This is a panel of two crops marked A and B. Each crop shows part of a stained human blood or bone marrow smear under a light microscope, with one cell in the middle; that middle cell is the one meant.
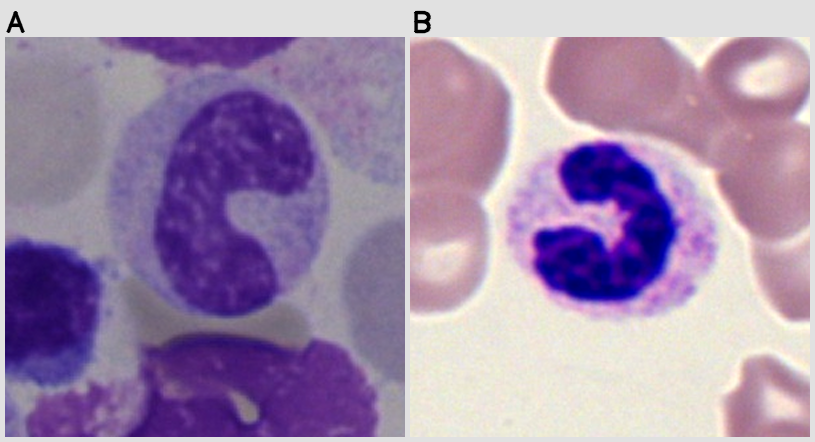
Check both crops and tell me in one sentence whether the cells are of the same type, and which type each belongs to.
Yes, the cells that the two crops centre on are band neutrophils.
